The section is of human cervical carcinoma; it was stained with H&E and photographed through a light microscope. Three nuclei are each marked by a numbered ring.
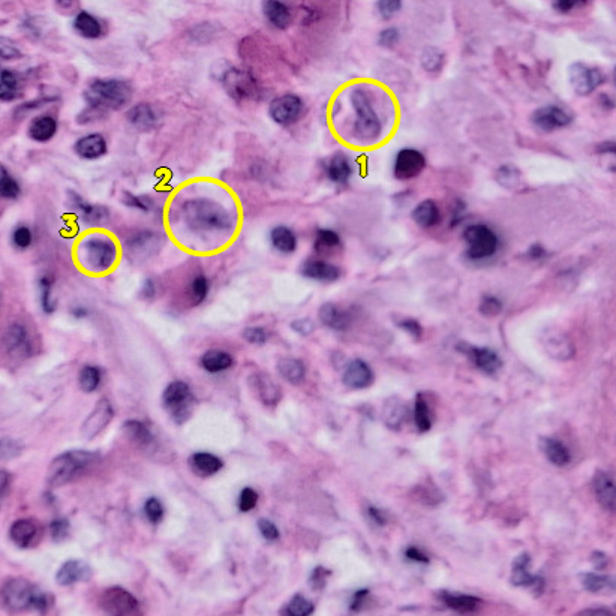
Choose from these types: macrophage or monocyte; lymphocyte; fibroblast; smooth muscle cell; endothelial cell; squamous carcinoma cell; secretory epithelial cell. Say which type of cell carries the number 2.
macrophage or monocyte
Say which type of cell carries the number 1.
macrophage or monocyte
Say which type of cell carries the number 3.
lymphocyte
